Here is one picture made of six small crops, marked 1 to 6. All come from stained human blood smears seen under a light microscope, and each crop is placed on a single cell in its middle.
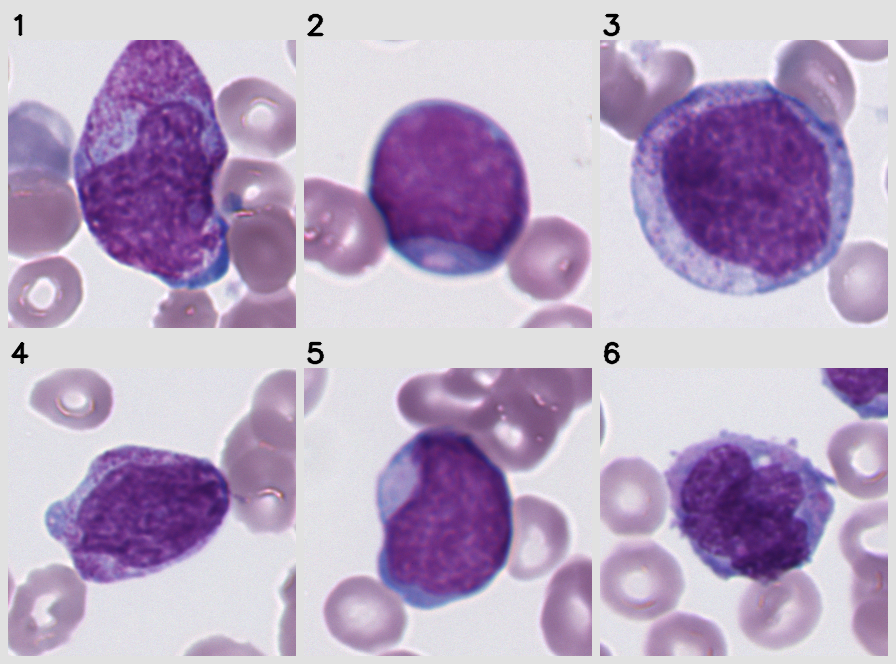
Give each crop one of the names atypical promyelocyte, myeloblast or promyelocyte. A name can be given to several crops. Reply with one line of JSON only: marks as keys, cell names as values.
{"1": "atypical promyelocyte", "2": "myeloblast", "3": "promyelocyte", "4": "atypical promyelocyte", "5": "myeloblast", "6": "atypical promyelocyte"}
